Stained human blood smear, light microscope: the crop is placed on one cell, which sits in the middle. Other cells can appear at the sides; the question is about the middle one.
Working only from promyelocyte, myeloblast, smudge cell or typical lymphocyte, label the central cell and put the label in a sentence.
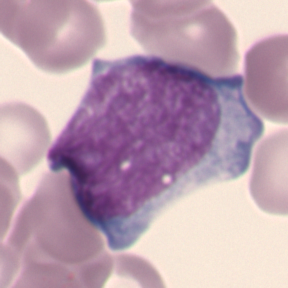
What the crop centres on is a myeloblast.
